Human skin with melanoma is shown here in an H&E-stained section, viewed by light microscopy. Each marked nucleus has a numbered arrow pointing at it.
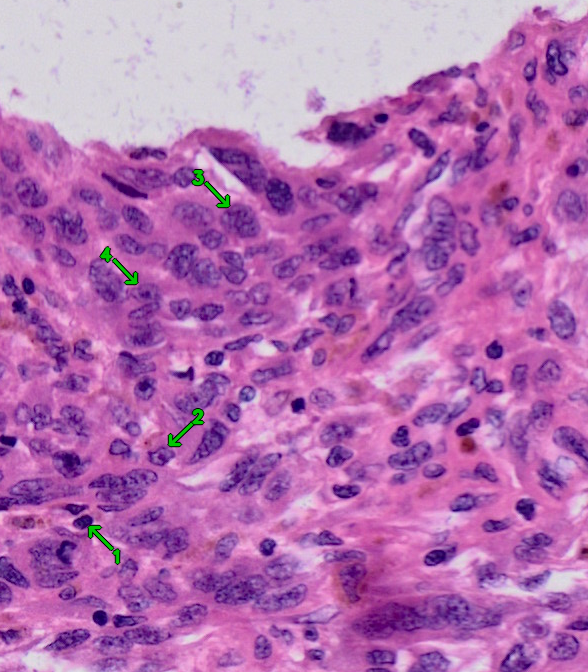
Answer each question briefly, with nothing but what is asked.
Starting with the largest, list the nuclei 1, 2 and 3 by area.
3, 2, 1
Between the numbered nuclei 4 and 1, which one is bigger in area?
4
